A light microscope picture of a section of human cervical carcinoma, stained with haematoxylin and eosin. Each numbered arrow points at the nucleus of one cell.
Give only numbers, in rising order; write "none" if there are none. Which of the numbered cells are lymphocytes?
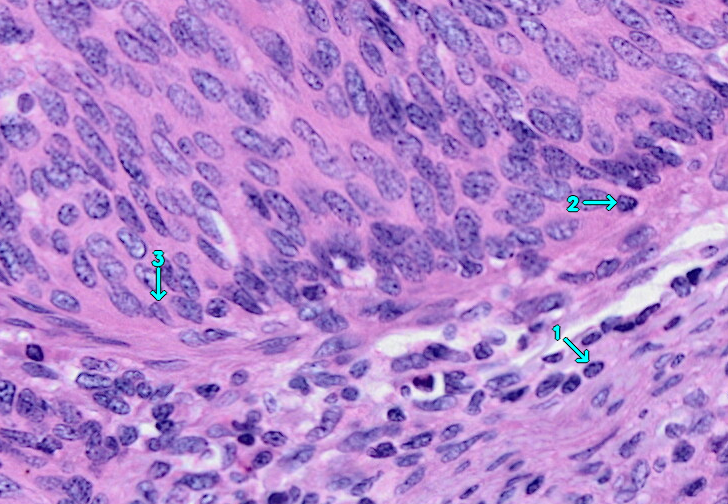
1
